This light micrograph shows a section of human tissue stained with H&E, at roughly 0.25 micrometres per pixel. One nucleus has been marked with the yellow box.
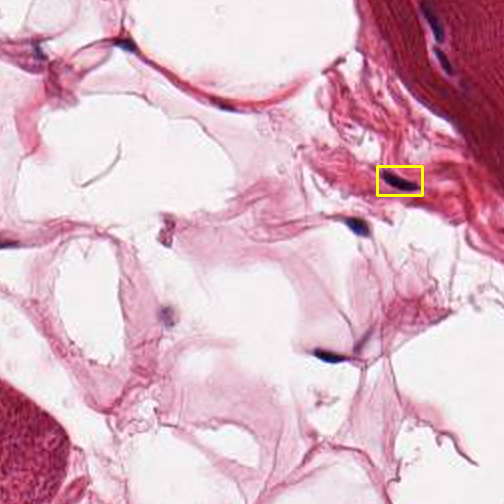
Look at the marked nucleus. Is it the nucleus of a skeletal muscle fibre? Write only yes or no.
no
